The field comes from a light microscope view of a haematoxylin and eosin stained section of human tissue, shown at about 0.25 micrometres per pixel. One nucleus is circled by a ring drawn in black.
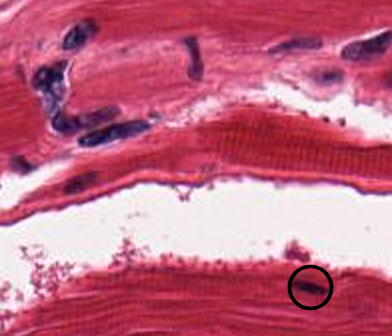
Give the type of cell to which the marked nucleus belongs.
skeletal muscle fibre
